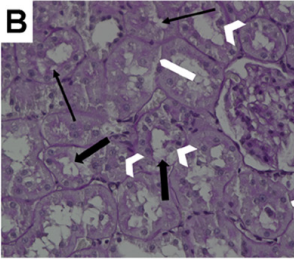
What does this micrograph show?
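This is renal cortex with a glomerulus on the right and surrounding tubules lined by cuboidal epithelium with magenta-outlined basement membranes. The tubular cells are swollen and pale with many clear vacuoles, some cells have dark condensed nuclei, and the luminal magenta border is patchy.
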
